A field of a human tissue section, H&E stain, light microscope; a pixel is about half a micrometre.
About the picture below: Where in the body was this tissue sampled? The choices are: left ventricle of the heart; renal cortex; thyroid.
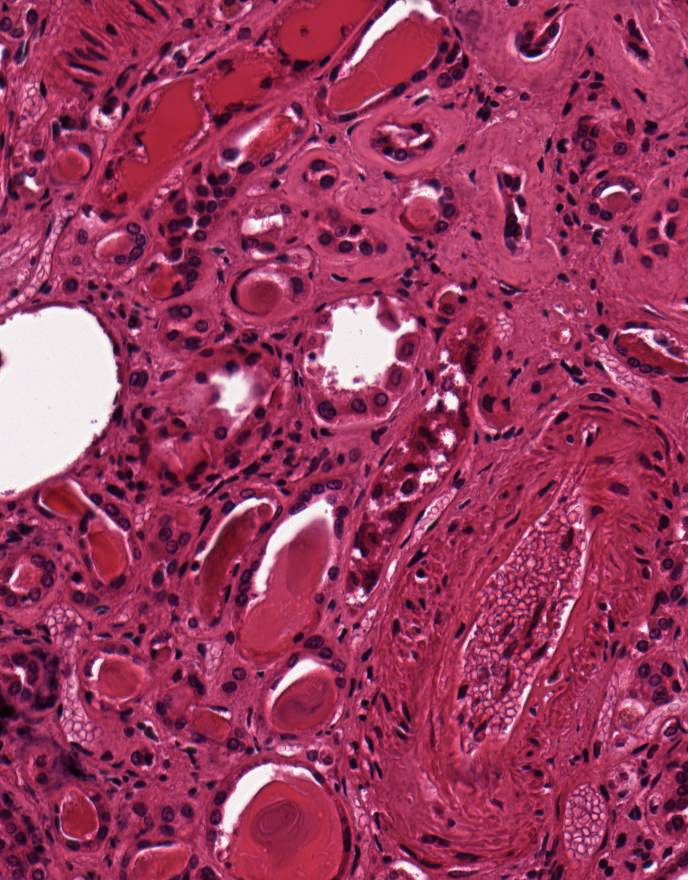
renal cortex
